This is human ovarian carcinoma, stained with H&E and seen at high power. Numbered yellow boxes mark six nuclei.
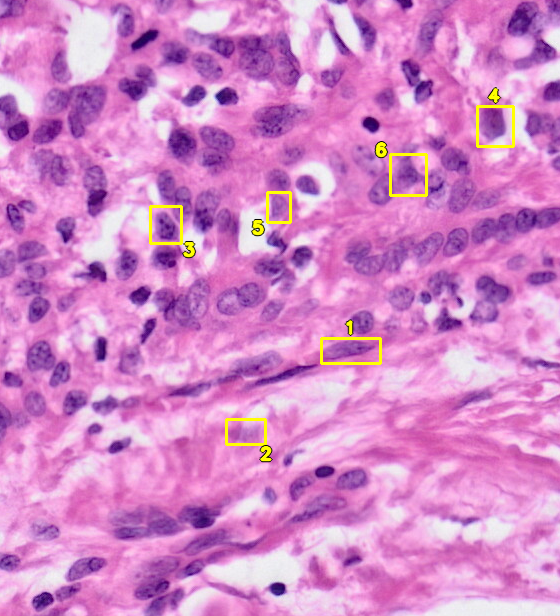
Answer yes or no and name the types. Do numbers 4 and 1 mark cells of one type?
No, the cell marked 4 is a carcinoma cell, and the cell marked 1 is an endothelial cell.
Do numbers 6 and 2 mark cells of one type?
No, cell 6 is a carcinoma cell, and cell 2 is, by contrast, a fibroblast.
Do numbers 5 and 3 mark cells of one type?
No, that is not right: cell 5 is a carcinoma cell and cell 3 is a macrophage or monocyte.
